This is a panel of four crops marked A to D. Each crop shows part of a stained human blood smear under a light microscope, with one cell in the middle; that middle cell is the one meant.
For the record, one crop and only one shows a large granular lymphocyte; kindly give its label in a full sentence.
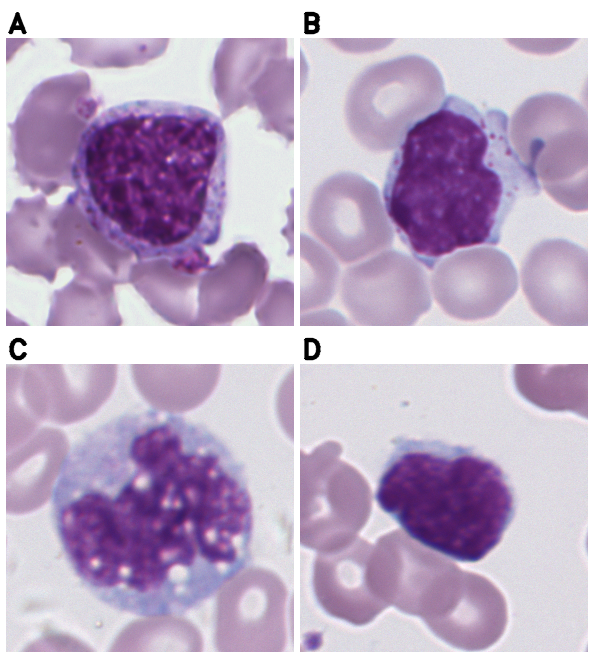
The one crop in the set with a large granular lymphocyte is crop B.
